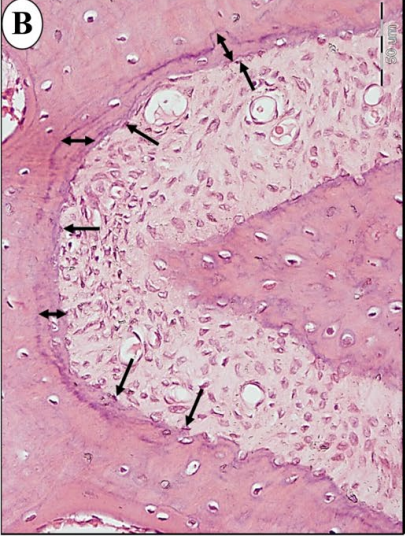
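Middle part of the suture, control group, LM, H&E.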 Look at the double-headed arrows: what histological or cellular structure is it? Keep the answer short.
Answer: Narrow band of new bone formation.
